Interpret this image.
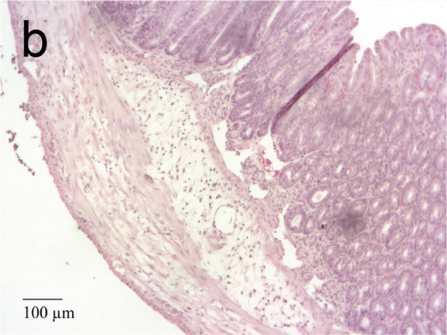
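This section of the colon wall shows tubular crypts of the mucosa on the right and the muscle wall along the left. Between them lies a broad, pale, loosely textured layer. This layer is swollen, with an open, watery look, and its scattered small nuclei fit an influx of inflammatory cells. The mucosa next to it is crowded with densely packed cells.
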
